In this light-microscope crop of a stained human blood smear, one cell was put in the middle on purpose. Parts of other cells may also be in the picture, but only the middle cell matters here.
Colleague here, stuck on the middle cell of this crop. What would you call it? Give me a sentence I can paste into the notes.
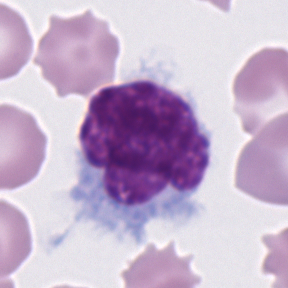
The cell centered in this field of view is a hairy cell.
